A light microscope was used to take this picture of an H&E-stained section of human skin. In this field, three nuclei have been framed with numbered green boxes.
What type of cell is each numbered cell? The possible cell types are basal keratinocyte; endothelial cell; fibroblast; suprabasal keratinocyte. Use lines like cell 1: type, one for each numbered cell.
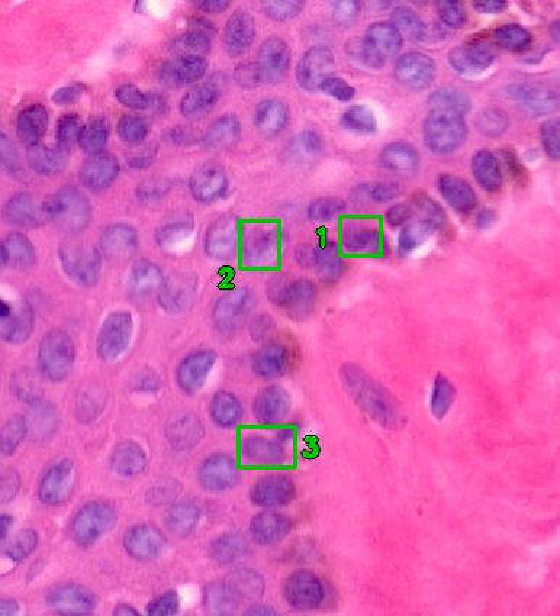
cell 1: basal keratinocyte
cell 2: suprabasal keratinocyte
cell 3: basal keratinocyte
